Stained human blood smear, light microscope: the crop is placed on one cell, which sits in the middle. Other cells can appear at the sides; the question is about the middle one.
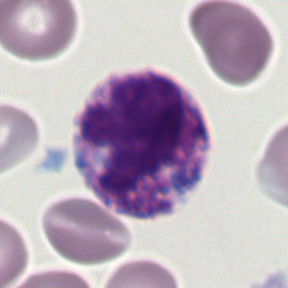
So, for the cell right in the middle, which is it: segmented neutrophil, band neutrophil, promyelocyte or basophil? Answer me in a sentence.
Centred in the crop is a basophil.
